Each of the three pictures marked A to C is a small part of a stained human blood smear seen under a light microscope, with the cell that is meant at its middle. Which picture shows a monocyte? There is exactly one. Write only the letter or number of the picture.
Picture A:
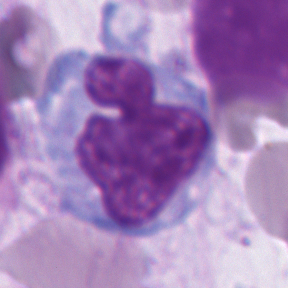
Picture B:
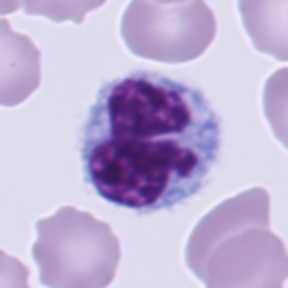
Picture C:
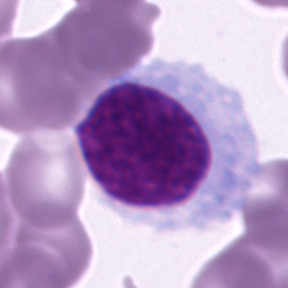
A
